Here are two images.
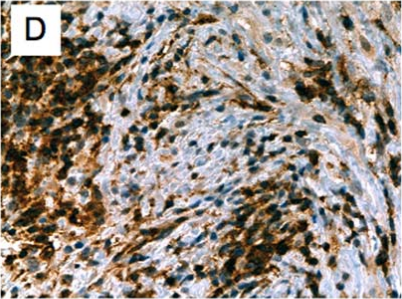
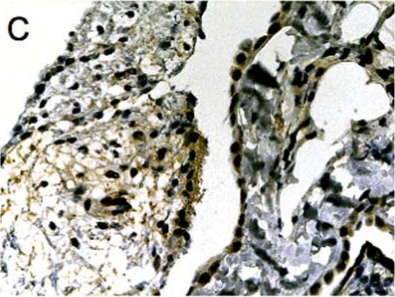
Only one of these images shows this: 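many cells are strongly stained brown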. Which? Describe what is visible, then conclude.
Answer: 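First image: clusters of cells with dense dark brown staining. On this evidence: the first image.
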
